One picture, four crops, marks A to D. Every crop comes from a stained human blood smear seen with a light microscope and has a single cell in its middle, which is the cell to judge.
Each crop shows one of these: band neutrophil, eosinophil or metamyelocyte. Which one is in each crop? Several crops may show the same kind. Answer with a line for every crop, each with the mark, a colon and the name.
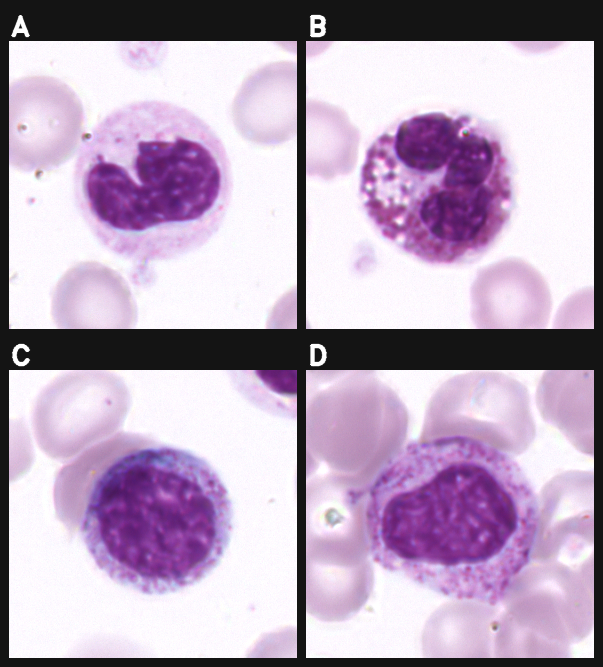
A: band neutrophil
B: eosinophil
C: metamyelocyte
D: metamyelocyte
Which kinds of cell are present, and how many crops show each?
metamyelocyte: 2
band neutrophil: 1
eosinophil: 1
